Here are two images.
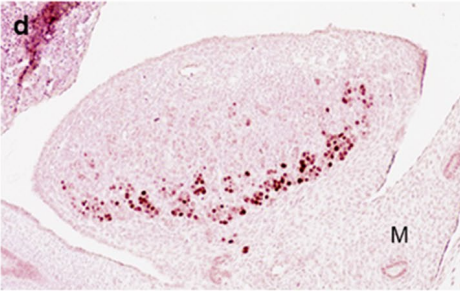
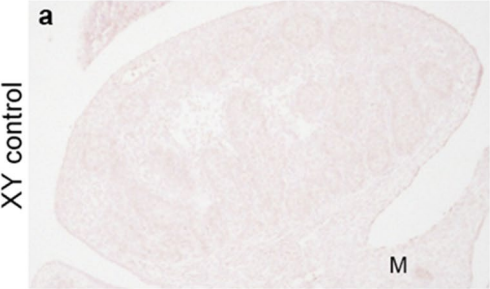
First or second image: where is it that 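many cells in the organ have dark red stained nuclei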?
the first image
